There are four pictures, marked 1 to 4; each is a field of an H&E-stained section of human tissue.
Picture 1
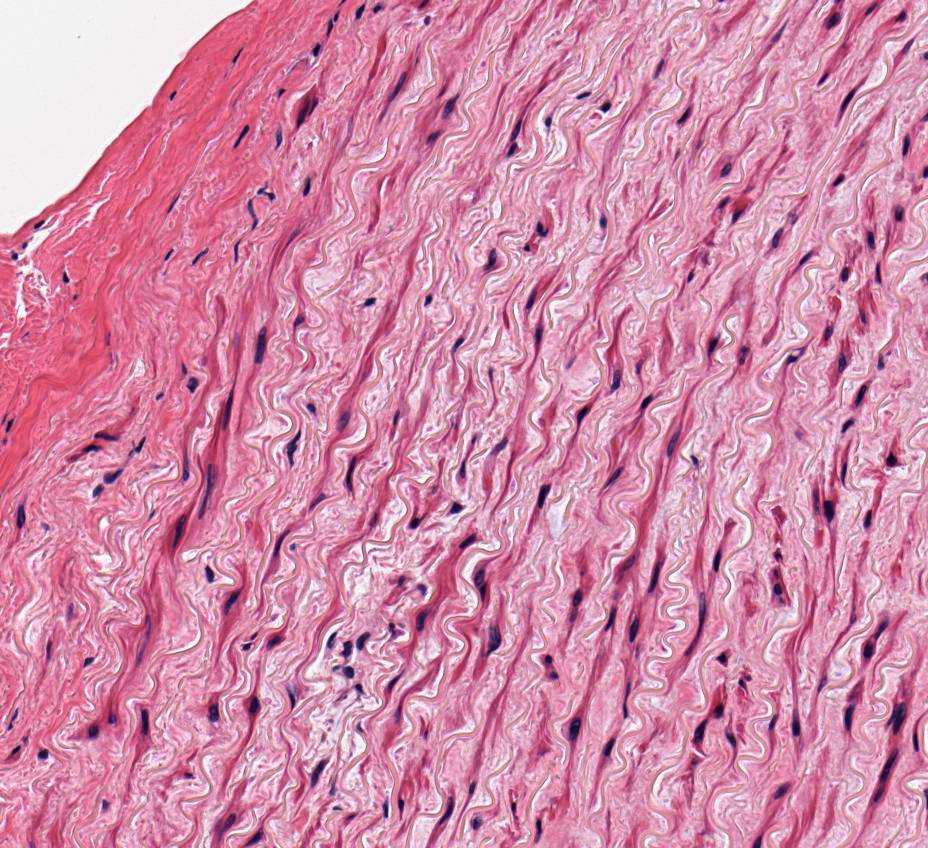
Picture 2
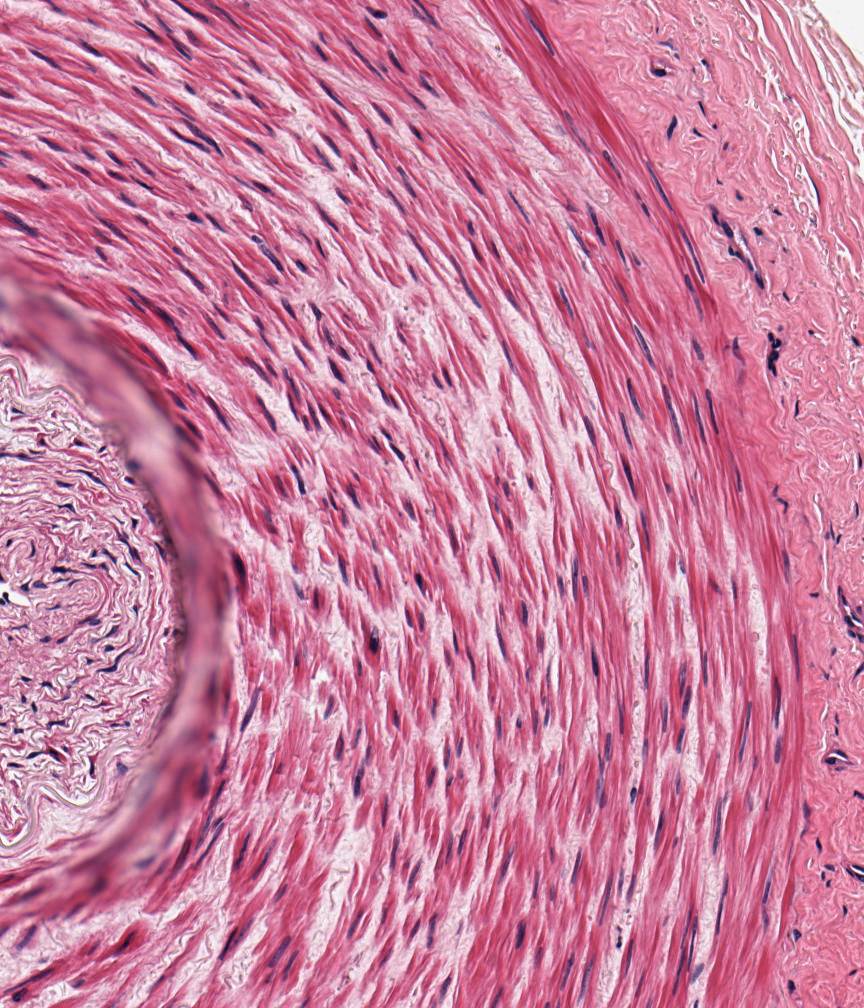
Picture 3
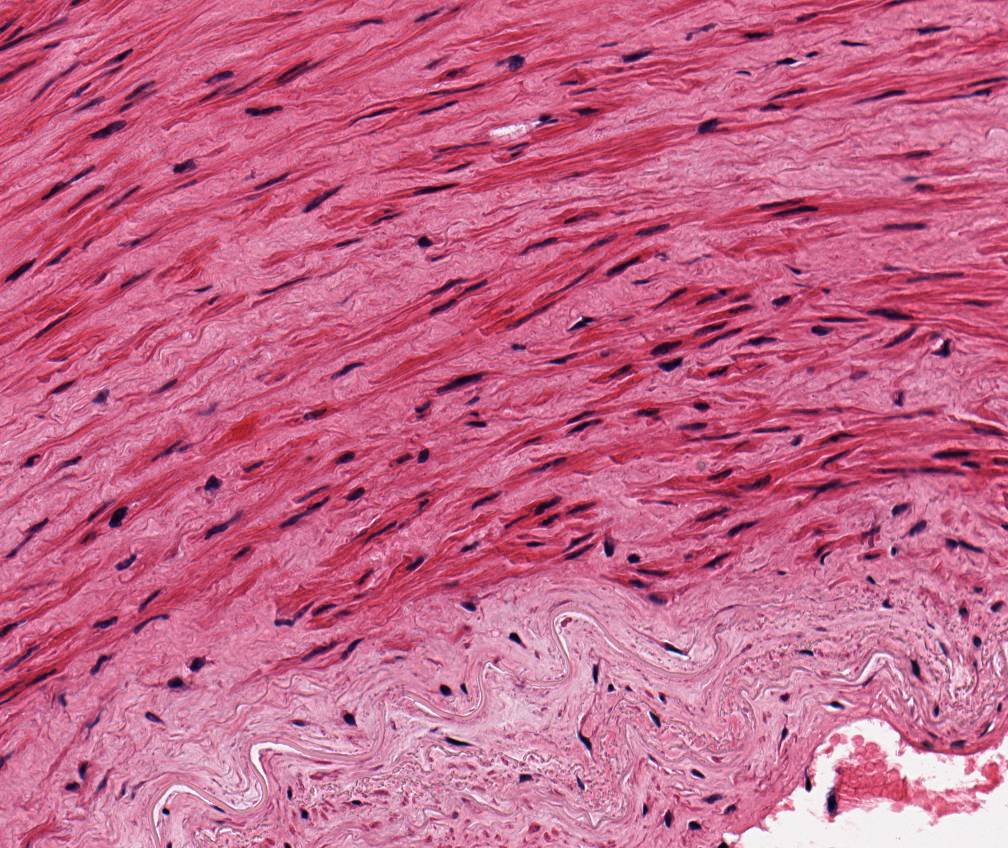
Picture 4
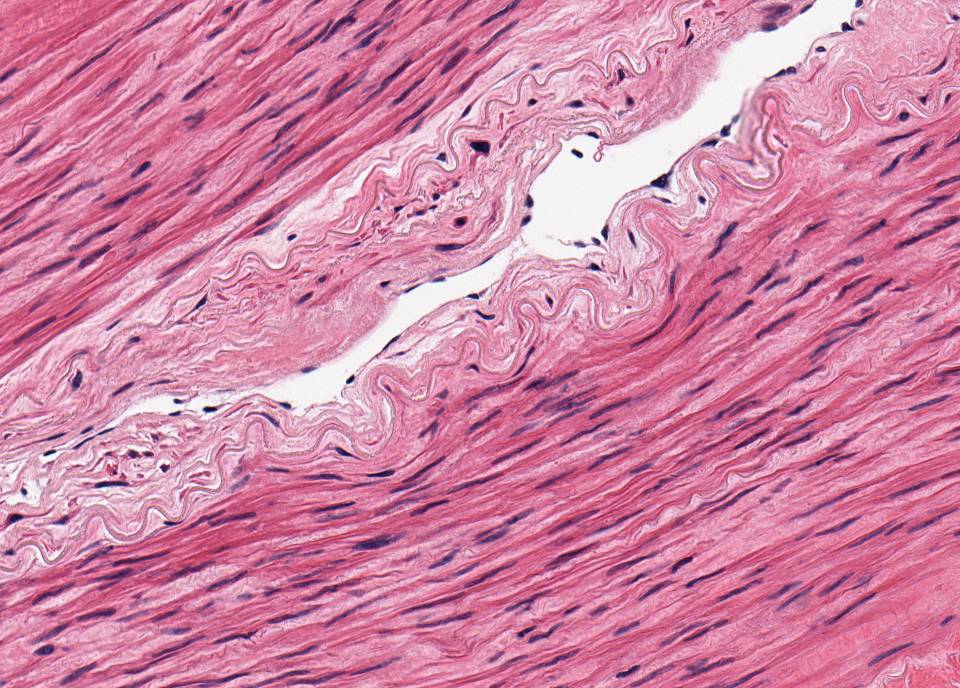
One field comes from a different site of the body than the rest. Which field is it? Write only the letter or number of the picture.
1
